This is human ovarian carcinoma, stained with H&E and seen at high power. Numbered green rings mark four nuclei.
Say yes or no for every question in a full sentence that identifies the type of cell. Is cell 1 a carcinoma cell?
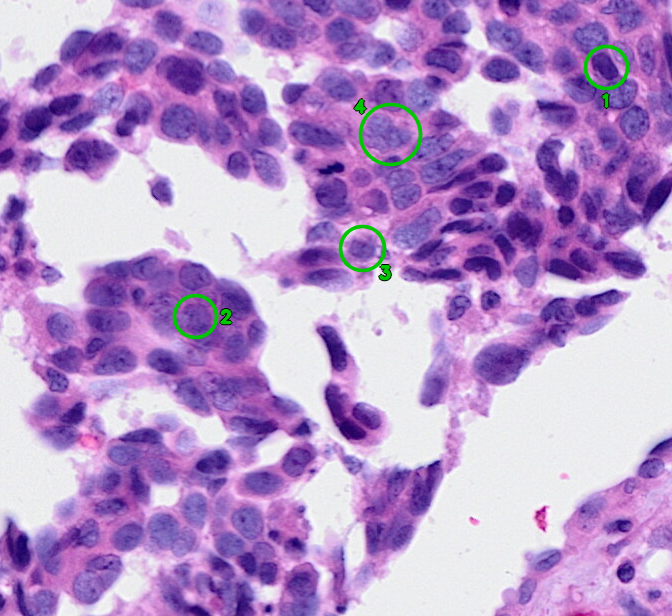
Yes, cell number 1 is identified here as a carcinoma cell.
